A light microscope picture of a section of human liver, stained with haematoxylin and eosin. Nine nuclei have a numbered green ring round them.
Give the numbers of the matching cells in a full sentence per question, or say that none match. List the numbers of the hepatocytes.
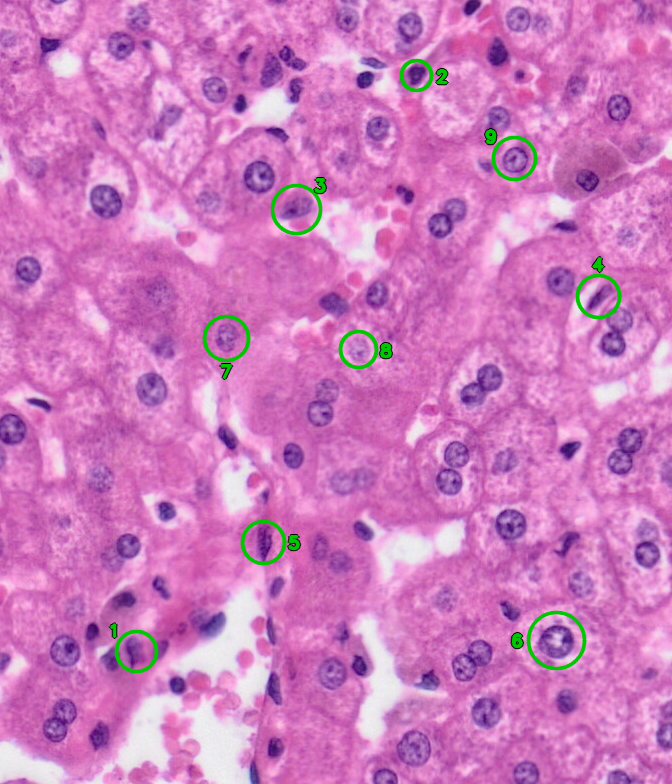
The cells the numbers 6, 7, 8 and 9 point to are hepatocytes.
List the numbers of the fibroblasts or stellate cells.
Within the section, cells numbered 1 and 5 are fibroblasts or stellate cells.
